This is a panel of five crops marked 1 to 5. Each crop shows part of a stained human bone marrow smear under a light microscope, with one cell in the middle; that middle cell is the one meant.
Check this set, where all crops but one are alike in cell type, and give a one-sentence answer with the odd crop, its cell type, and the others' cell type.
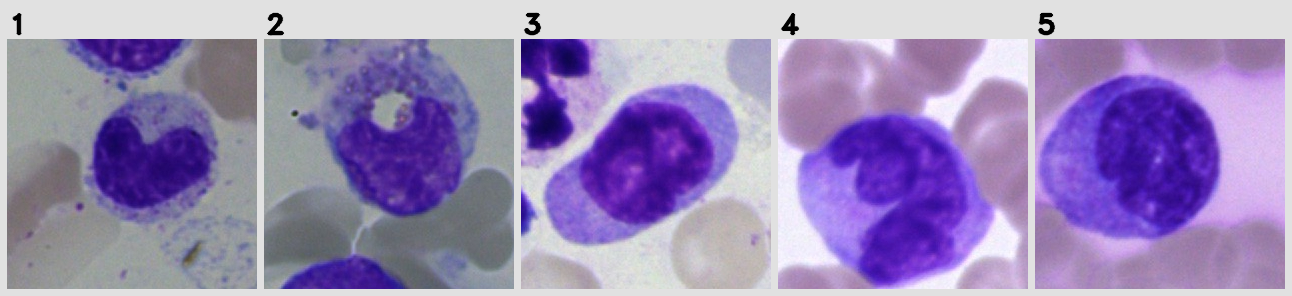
Apart from crop 1, which shows a band neutrophil, every crop shows monocytes.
